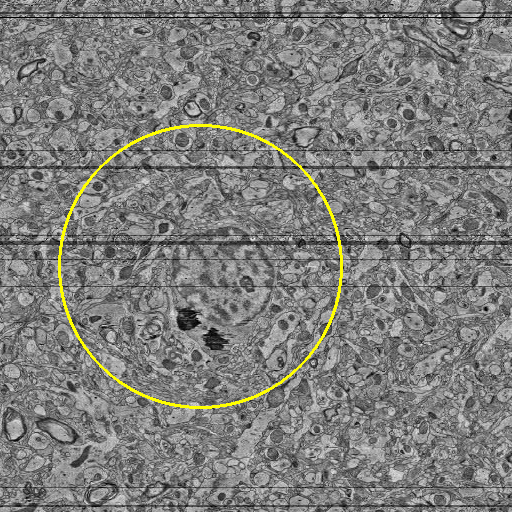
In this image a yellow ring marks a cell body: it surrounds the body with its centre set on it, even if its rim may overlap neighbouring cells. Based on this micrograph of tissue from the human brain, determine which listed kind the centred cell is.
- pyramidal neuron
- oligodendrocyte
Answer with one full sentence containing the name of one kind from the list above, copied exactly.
It is an oligodendrocyte whose body the yellow ring encloses at its centre.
